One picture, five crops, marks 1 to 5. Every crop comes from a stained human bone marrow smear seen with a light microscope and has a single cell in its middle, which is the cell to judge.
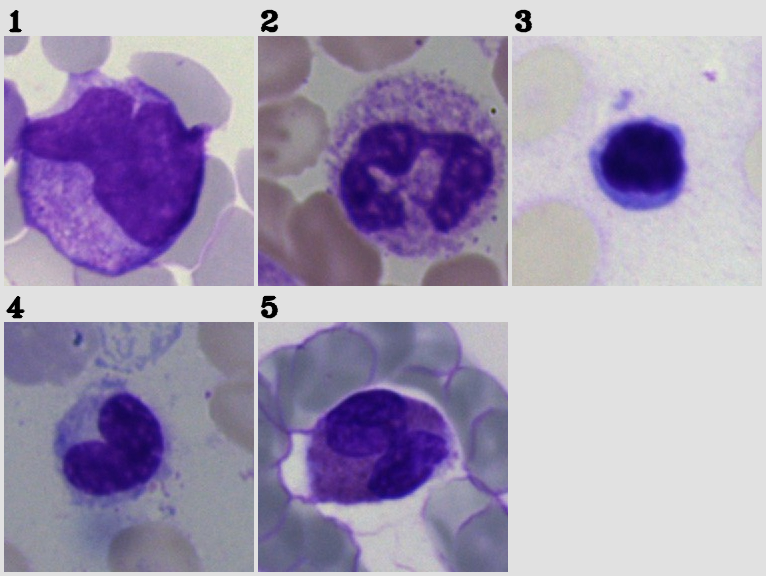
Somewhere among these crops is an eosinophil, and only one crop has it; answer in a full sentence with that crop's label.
Of the cells presented, the one in crop 5 is an eosinophil.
